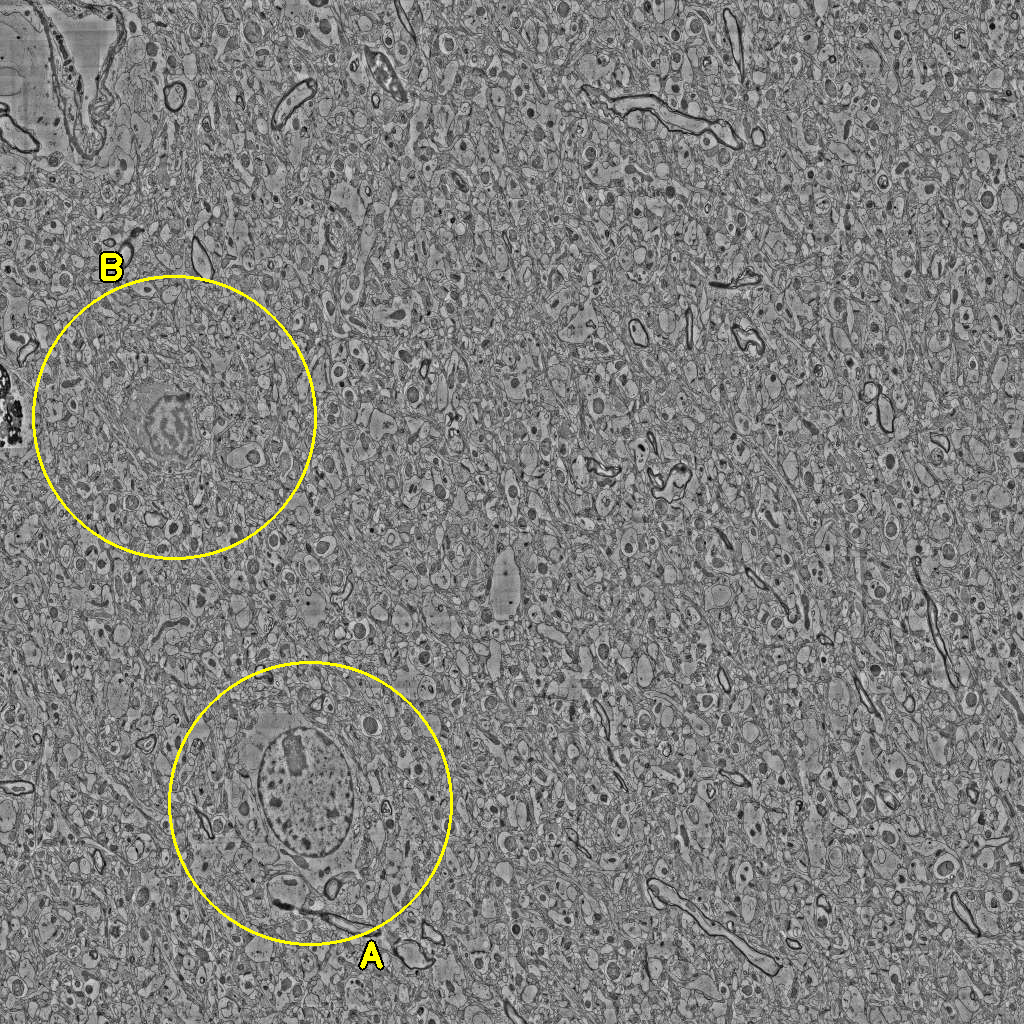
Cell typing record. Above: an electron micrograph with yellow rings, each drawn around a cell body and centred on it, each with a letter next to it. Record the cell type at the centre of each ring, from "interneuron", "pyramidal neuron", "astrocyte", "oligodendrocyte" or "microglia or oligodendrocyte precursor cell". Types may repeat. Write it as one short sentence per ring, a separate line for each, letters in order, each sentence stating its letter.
Ring A circles an astrocyte.
Ring B circles an oligodendrocyte.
